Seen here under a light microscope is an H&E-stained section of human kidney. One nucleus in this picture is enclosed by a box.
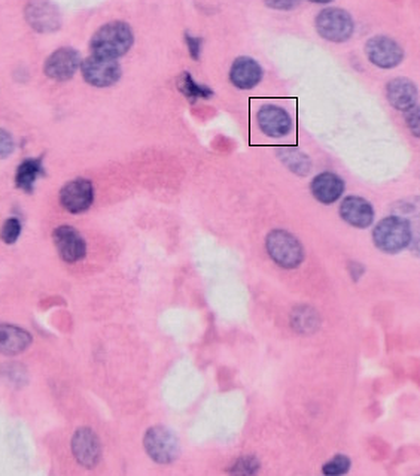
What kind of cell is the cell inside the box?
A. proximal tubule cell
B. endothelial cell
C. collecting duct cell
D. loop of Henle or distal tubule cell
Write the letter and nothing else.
C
